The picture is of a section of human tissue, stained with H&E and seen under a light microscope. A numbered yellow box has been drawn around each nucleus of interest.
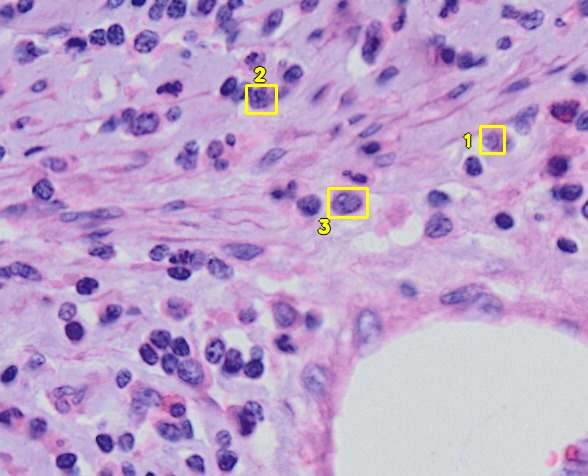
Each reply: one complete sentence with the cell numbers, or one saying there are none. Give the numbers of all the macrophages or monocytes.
The cells numbered 1 and 3 are typed as macrophages or monocytes.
